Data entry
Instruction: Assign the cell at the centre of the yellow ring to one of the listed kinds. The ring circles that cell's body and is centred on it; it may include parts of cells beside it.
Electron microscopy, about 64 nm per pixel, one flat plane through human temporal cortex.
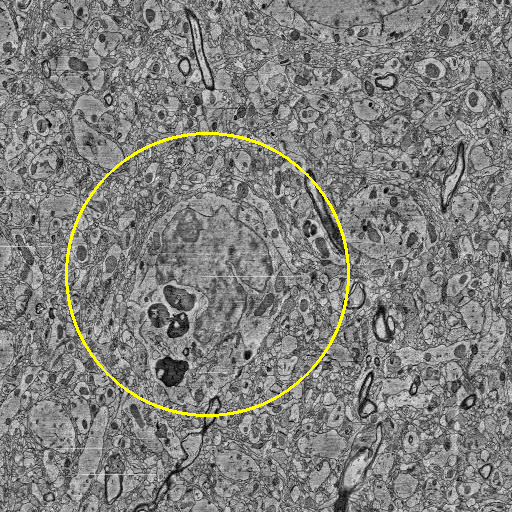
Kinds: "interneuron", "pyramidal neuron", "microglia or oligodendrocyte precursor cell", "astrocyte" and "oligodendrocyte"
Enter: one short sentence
The centre of the ring falls on an interneuron.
